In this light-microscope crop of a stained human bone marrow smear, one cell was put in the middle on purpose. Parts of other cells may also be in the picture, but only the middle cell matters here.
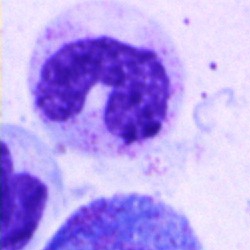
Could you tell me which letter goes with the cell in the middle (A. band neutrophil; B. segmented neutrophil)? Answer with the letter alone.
A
